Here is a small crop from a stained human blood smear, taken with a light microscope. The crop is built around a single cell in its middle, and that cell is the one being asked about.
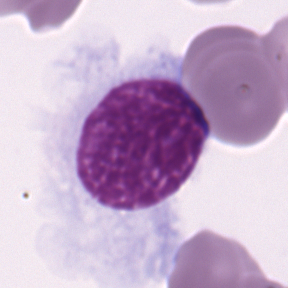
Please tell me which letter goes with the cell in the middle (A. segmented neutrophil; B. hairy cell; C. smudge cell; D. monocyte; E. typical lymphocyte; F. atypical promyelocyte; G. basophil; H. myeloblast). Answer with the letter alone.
B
